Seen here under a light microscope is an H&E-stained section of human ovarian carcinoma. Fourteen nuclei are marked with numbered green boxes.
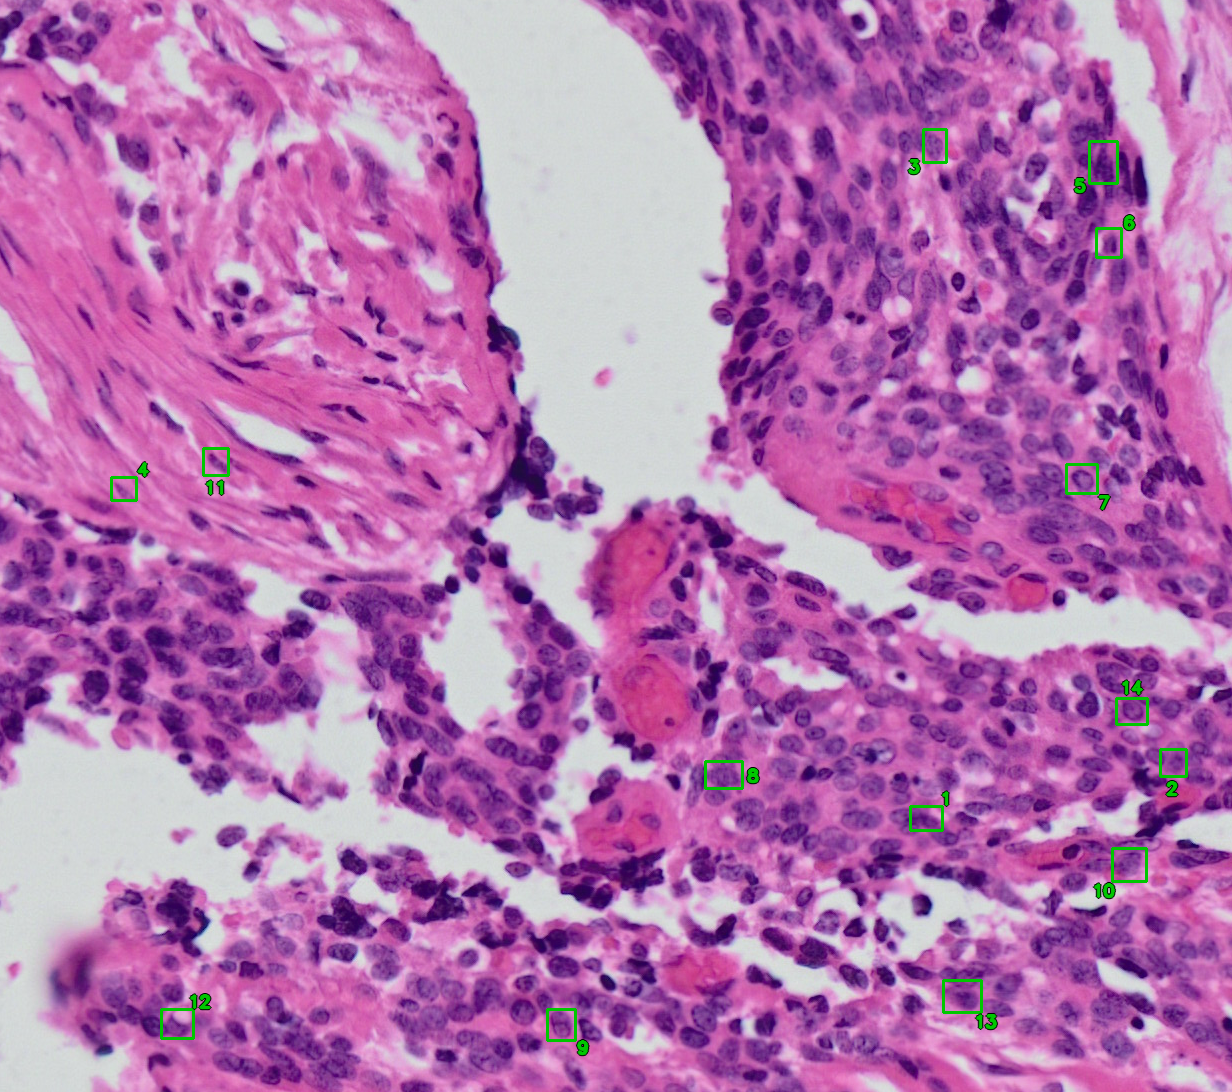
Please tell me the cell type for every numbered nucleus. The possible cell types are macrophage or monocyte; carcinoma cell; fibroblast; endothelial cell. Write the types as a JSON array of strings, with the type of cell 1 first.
["carcinoma cell", "carcinoma cell", "carcinoma cell", "fibroblast", "carcinoma cell", "macrophage or monocyte", "macrophage or monocyte", "carcinoma cell", "macrophage or monocyte", "endothelial cell", "fibroblast", "carcinoma cell", "carcinoma cell", "carcinoma cell"]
